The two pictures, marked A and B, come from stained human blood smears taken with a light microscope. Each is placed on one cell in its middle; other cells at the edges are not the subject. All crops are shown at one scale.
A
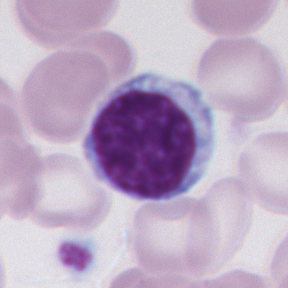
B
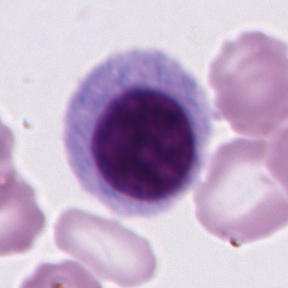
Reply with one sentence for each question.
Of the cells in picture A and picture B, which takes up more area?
Picture B holds the larger cell; it covers about 1.5 times the area of the cell in picture A.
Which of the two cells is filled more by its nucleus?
It is the cell in picture A that is filled more by its nucleus.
